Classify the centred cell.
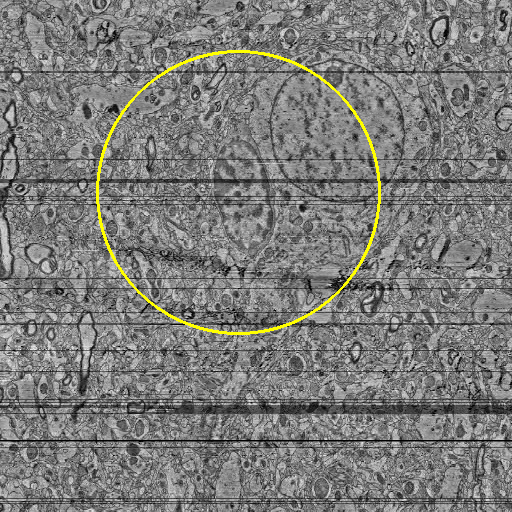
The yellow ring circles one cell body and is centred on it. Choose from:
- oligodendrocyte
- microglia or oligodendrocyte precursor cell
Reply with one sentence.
The ring is centred on an oligodendrocyte.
